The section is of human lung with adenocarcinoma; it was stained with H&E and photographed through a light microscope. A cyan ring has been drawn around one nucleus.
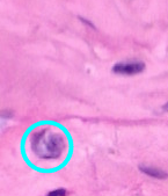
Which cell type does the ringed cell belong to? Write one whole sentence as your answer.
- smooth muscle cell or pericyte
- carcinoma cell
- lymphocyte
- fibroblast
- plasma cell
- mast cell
The classification of the ringed cell is as a fibroblast.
